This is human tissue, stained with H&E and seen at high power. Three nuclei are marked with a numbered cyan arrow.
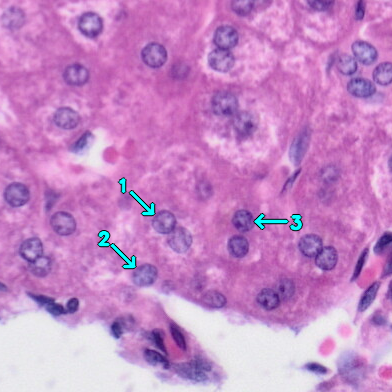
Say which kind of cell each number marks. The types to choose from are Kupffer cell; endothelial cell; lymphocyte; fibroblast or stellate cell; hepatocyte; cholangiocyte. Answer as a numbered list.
1. hepatocyte
2. cholangiocyte
3. hepatocyte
